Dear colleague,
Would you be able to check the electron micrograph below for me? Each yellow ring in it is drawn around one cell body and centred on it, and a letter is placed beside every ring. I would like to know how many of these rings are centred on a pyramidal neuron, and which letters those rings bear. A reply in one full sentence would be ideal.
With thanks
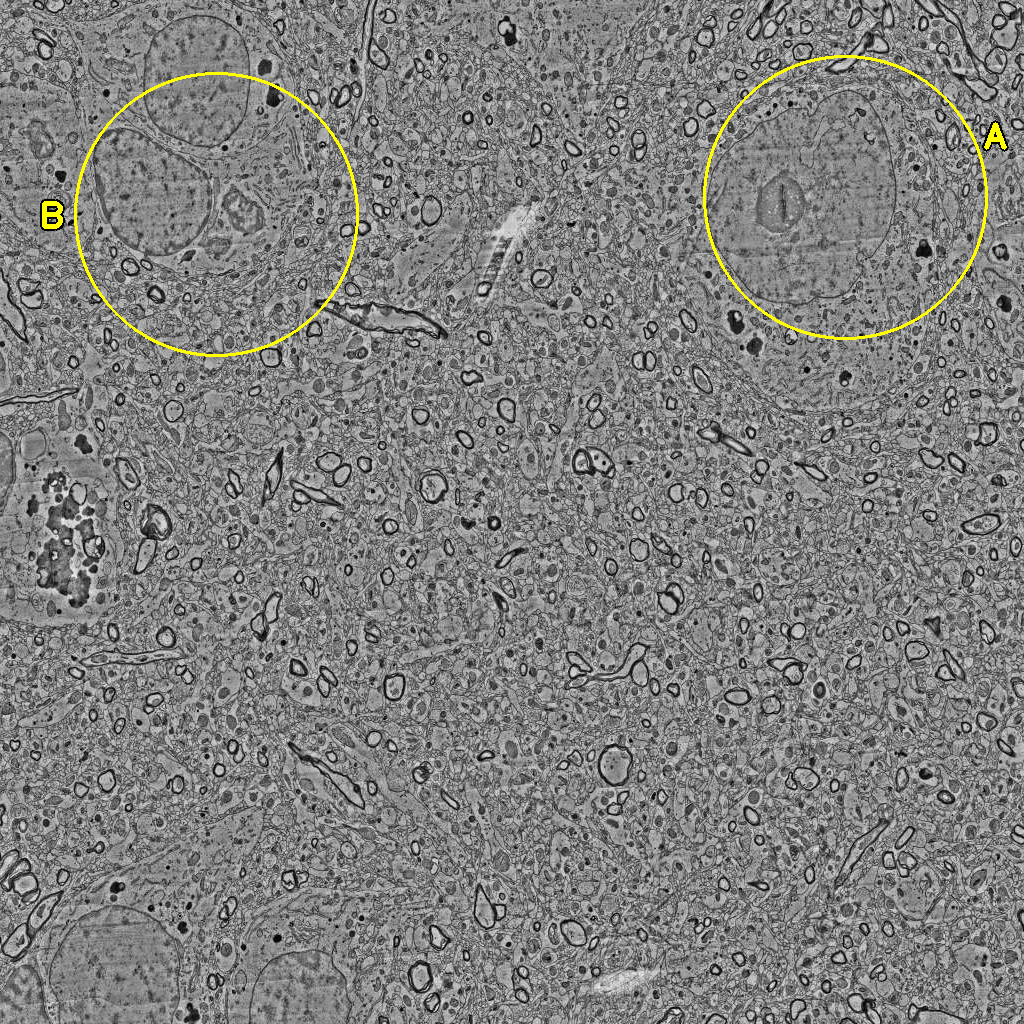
Only one ring here is centred on a pyramidal neuron, and the letter attached to it is A.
